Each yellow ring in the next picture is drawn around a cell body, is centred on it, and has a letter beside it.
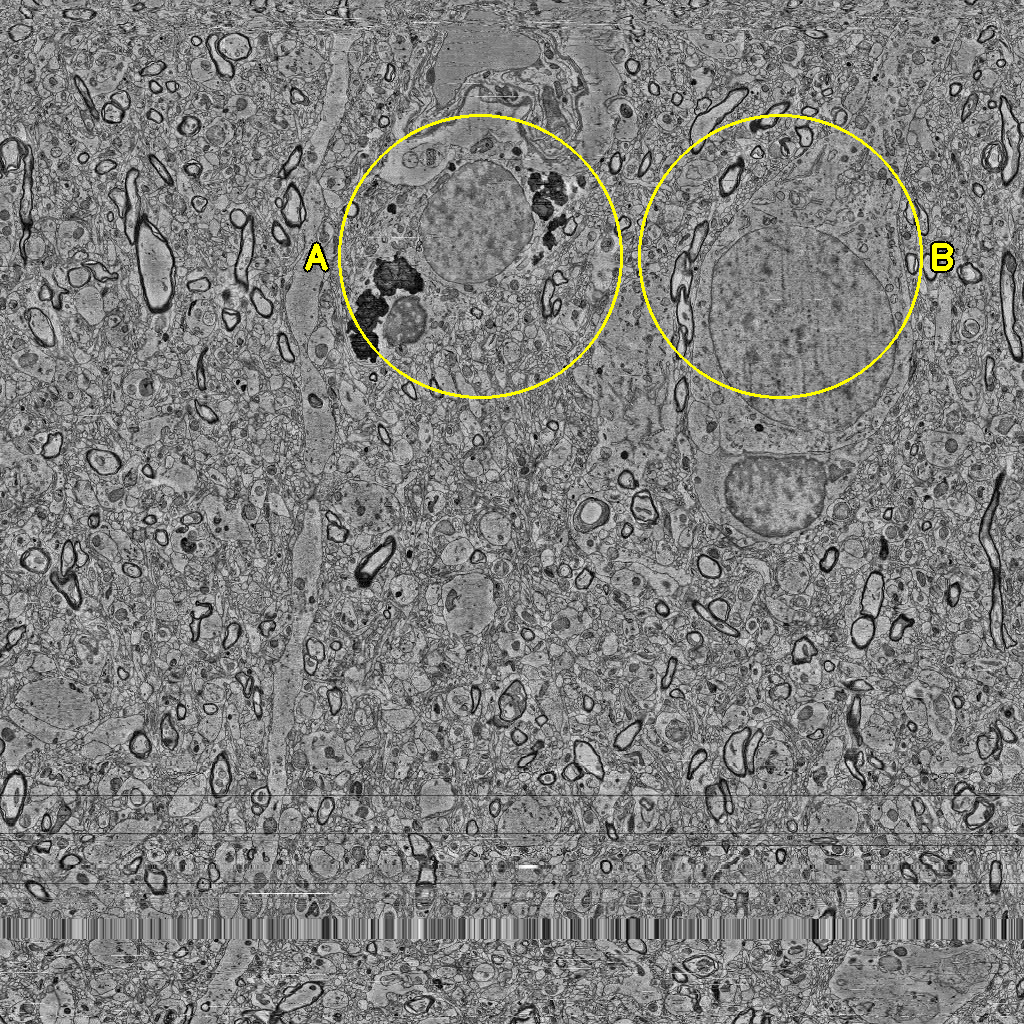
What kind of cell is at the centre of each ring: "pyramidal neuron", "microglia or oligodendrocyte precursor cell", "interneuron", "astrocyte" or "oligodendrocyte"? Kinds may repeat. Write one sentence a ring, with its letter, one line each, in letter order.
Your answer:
The centre of ring A falls on an oligodendrocyte.
The centre of ring B falls on an interneuron.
